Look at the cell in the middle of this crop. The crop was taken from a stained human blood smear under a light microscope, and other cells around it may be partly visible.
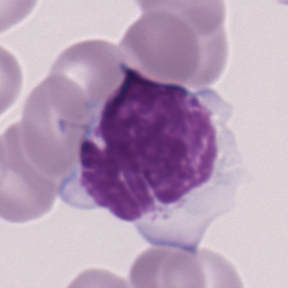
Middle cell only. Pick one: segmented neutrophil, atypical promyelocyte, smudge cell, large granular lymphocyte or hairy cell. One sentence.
By classification, the middle cell of this crop is a large granular lymphocyte.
